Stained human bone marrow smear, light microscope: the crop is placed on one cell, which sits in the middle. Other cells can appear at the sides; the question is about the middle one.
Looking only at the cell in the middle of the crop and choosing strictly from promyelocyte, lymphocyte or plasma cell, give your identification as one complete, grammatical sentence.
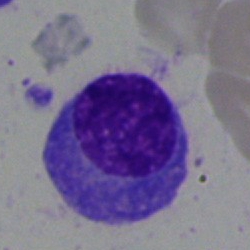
The cell at the heart of this crop is a plasma cell.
